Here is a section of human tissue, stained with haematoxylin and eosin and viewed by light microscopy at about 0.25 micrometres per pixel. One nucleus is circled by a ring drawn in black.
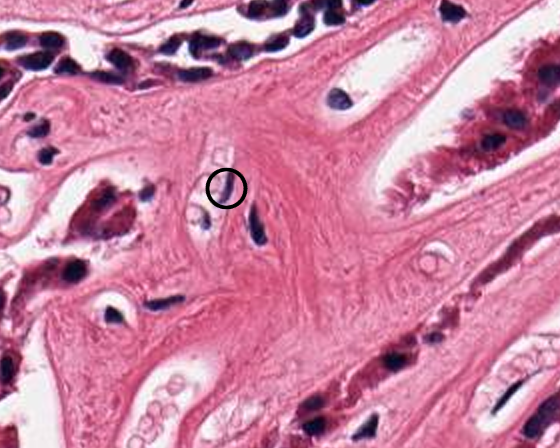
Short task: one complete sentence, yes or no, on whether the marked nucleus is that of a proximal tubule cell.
No, it is not a proximal tubule cell that owns the marked nucleus but a supporting cell.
